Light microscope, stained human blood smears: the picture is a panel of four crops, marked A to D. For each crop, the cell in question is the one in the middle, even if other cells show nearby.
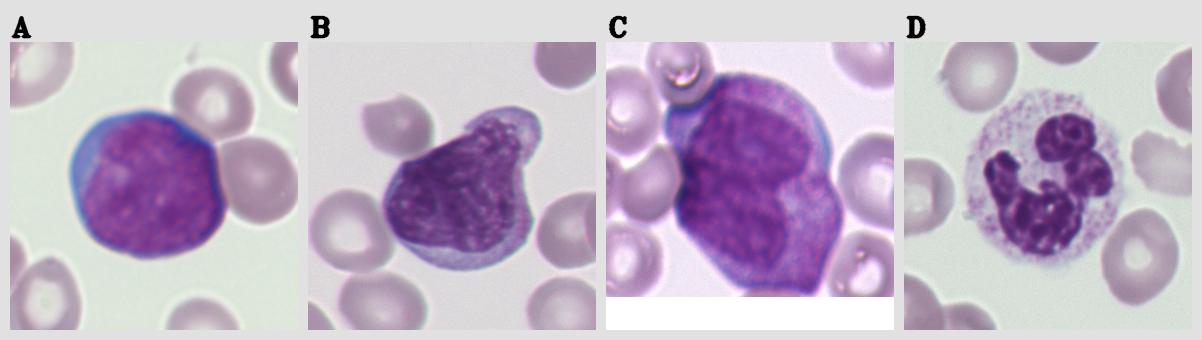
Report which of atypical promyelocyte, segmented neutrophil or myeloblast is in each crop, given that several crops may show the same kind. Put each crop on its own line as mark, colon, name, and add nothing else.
A: myeloblast
B: atypical promyelocyte
C: atypical promyelocyte
D: segmented neutrophil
